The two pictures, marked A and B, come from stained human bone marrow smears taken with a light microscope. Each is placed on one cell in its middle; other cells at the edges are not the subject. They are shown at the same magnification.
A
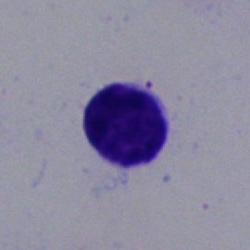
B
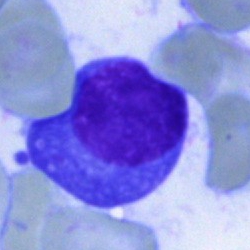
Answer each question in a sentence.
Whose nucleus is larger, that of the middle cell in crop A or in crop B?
It is the nucleus in crop B, about 2 times as large in area as the one in crop A.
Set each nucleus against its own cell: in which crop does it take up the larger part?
The nucleus fills more of the cell in crop A than in crop B.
